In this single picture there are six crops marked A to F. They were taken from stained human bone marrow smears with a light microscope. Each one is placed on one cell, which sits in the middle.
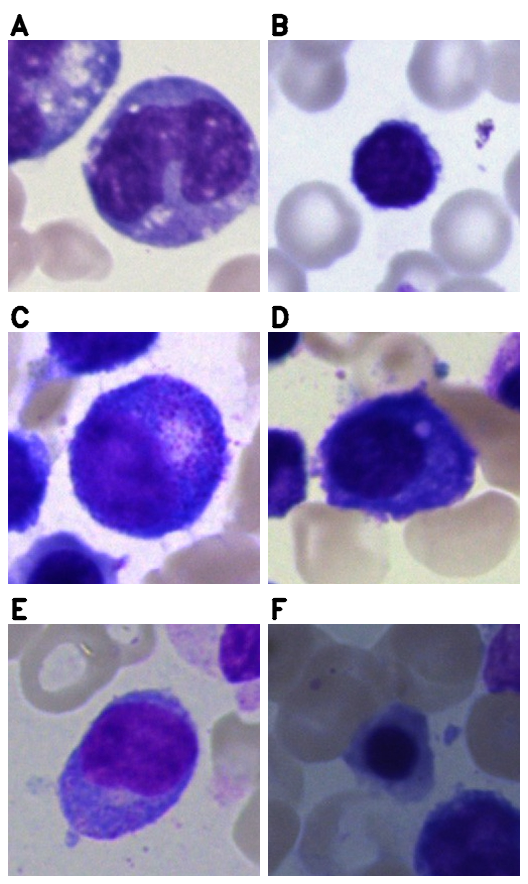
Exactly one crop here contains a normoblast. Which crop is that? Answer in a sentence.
Crop F shows a normoblast, and no other crop does.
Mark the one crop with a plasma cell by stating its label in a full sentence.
The crop marked D is the one in which a plasma cell is shown.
